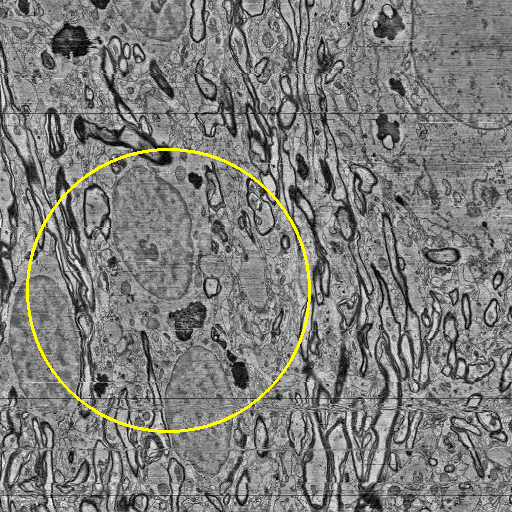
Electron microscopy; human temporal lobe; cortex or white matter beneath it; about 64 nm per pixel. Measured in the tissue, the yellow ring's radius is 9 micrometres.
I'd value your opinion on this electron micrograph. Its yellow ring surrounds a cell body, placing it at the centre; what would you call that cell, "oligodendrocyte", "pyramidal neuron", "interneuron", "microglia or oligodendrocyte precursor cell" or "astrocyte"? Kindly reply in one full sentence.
It is an oligodendrocyte that sits centred within the yellow ring in this micrograph.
